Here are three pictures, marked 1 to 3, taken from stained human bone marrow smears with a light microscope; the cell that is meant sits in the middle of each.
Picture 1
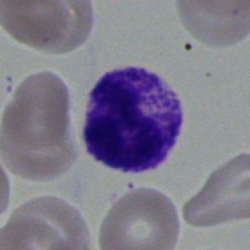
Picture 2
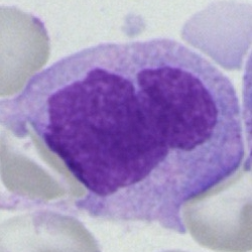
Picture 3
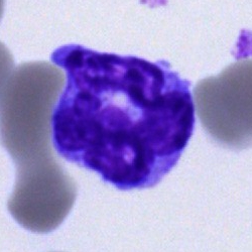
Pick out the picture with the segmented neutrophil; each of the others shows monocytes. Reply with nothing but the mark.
1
